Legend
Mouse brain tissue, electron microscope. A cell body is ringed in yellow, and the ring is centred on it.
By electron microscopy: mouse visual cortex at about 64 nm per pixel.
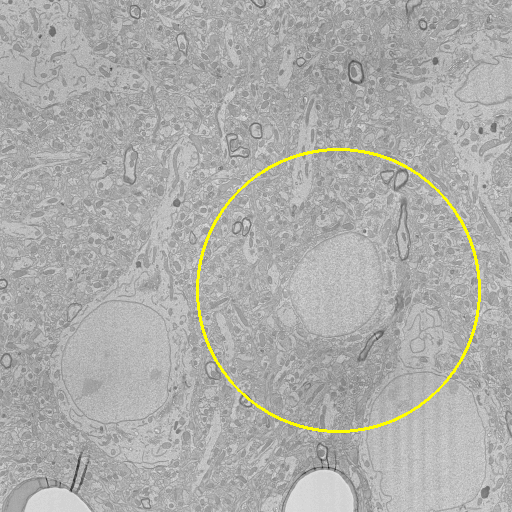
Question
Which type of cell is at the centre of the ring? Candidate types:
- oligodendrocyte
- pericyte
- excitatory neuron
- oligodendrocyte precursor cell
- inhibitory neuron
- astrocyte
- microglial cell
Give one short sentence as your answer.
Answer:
The yellow ring is centred here on an astrocyte.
